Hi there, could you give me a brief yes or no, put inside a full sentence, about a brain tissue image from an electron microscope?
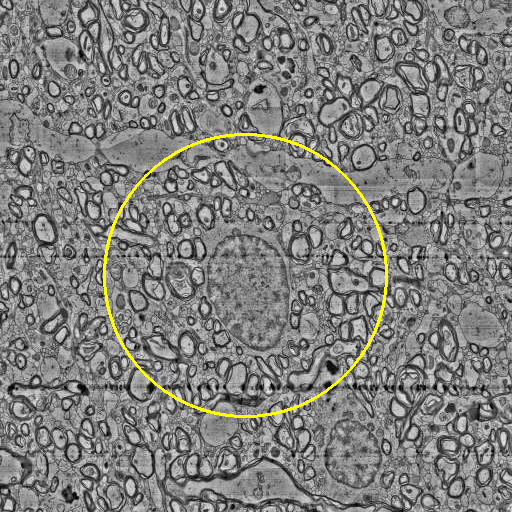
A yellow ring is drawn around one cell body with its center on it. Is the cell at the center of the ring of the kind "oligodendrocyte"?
Yes, the cell found at the center of the yellow ring is of that kind.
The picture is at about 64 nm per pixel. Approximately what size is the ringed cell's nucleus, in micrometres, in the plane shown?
In this plane the nucleus is about 8 micrometres by 5.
